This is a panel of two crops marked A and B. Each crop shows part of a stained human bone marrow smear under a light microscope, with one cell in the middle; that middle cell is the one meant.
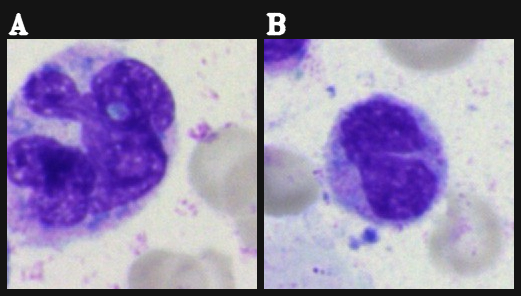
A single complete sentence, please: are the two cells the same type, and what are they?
Yes, both crops show a cell each, and these are monocytes.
